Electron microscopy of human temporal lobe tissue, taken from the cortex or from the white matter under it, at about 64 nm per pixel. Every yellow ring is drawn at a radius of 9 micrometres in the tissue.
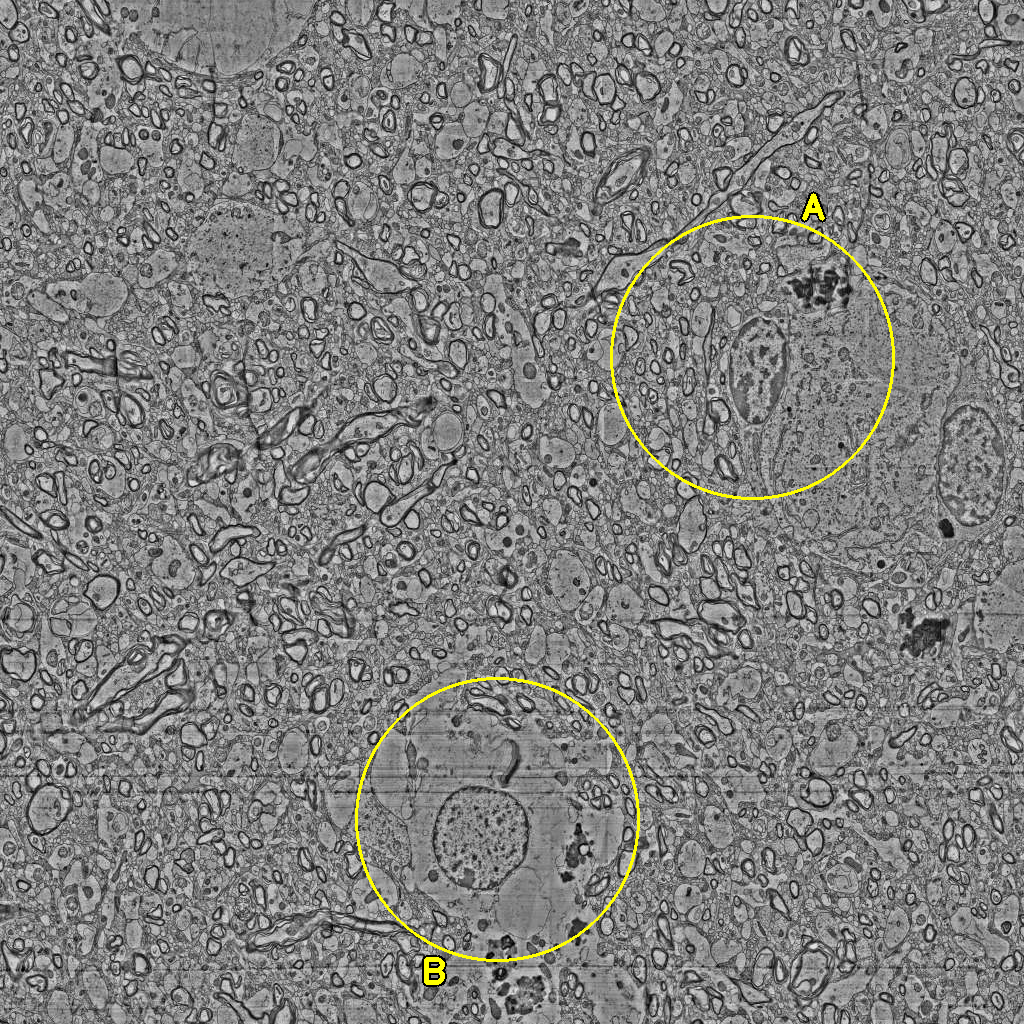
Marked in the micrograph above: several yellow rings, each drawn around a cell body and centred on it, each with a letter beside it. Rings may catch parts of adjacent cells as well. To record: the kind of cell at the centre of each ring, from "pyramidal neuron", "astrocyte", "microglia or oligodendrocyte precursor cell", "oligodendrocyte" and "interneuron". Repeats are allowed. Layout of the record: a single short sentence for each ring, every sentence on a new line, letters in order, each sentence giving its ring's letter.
At the centre of ring A lies a microglial cell or oligodendrocyte precursor cell.
At the centre of ring B lies an astrocyte.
